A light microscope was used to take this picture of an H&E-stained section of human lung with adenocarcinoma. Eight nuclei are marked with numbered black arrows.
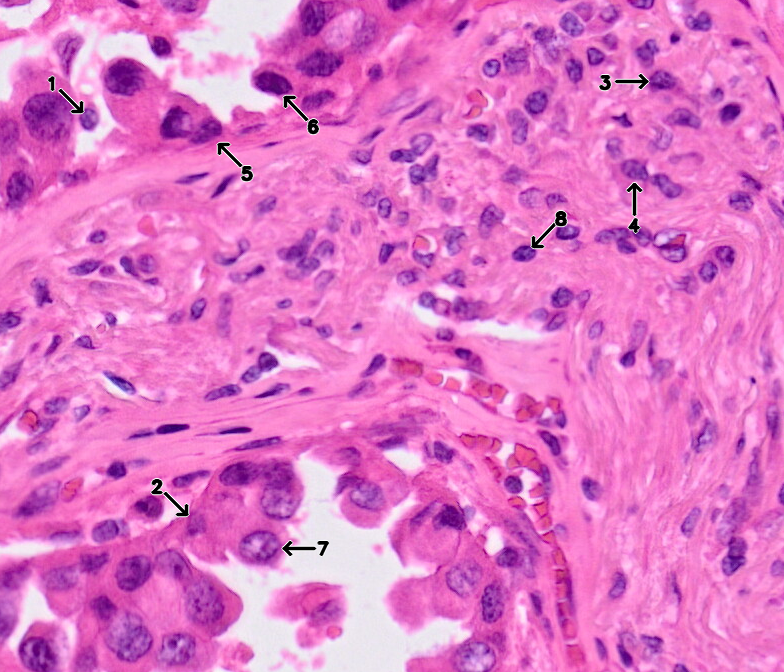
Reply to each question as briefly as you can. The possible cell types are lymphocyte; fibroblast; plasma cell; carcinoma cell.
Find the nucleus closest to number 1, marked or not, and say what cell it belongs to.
carcinoma cell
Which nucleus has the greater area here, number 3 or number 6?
6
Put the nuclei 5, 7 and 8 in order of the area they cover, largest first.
7, 5, 8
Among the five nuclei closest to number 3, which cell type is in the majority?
plasma cell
